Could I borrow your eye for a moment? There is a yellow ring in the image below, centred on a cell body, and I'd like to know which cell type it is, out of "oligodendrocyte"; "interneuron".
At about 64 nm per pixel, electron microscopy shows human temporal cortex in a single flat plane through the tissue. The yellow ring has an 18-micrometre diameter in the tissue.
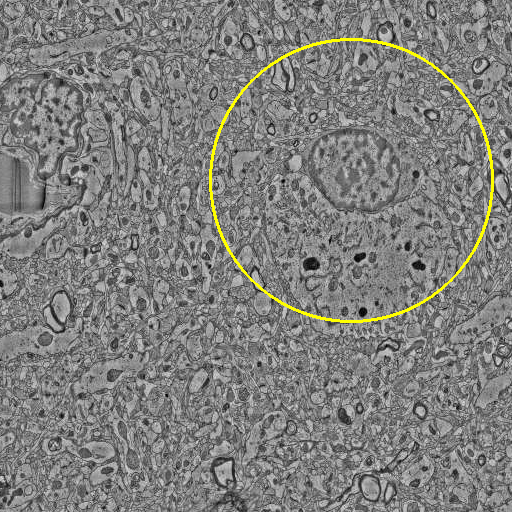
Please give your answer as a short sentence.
The cell body at the centre is that of an oligodendrocyte.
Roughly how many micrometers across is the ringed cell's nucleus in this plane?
In this plane, the nucleus is roughly 6 by 5 micrometres.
